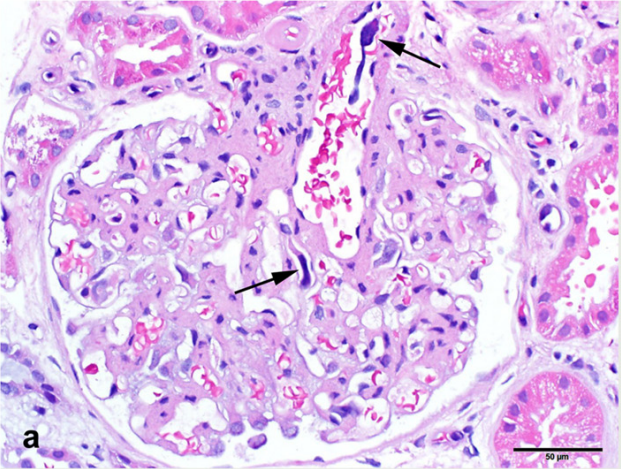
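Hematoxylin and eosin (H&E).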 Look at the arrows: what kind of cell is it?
megakaryocytes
